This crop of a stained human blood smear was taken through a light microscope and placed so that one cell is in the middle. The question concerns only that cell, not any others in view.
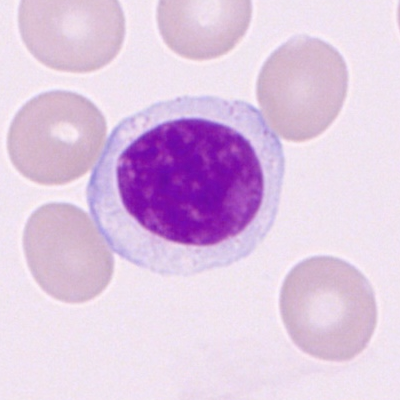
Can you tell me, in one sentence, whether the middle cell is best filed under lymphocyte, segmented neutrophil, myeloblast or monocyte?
Located at the centre of the crop is a lymphocyte.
